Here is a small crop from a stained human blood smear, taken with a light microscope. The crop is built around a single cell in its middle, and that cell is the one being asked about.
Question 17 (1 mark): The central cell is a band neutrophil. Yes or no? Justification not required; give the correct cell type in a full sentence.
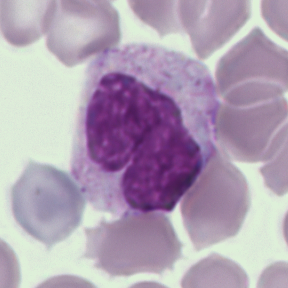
Yes, shown in the middle of the crop is a band neutrophil.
